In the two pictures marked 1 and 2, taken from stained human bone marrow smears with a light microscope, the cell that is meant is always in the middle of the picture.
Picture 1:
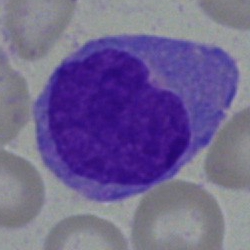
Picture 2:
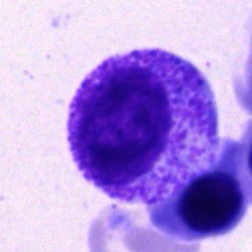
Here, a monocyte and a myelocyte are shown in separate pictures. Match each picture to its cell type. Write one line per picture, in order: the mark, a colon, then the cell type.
1: monocyte
2: myelocyte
